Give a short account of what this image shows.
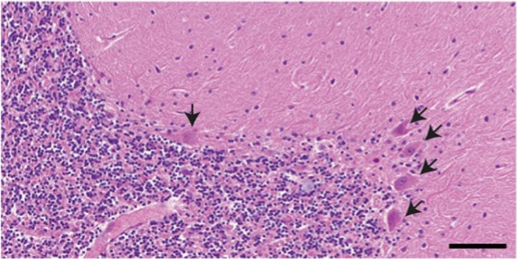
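This section of cerebellar cortex shows the border between the pale pink molecular layer and the densely cellular granular layer, with only a few Purkinje cells remaining along it. The surviving Purkinje cells are large pink cell bodies, one isolated and a small group clustered near the right side of the bend. Long stretches of the border lack these large cells, showing a loss of Purkinje cells. The granular layer is crowded with small dark purple nuclei, and the molecular layer above is pale and fibrous.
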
